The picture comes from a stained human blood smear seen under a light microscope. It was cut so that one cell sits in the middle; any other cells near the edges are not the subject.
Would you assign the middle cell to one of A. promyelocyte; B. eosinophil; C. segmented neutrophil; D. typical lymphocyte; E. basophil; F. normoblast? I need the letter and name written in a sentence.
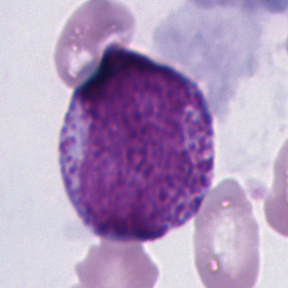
Option A is the correct option, with the middle cell being a promyelocyte.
